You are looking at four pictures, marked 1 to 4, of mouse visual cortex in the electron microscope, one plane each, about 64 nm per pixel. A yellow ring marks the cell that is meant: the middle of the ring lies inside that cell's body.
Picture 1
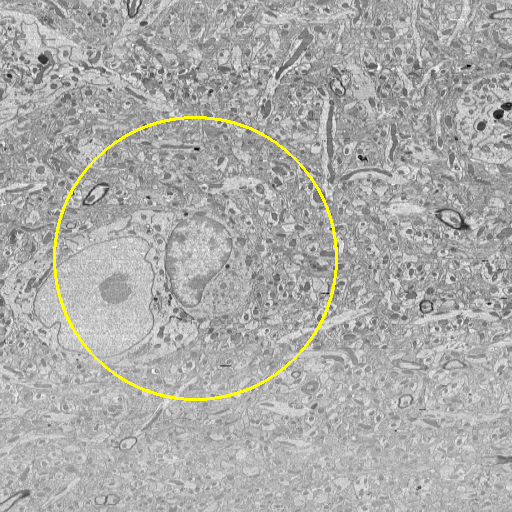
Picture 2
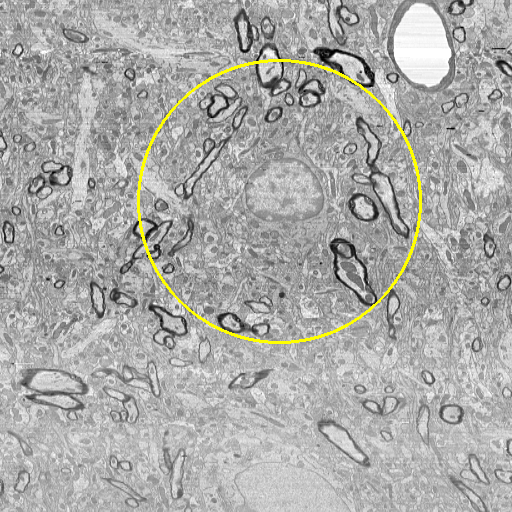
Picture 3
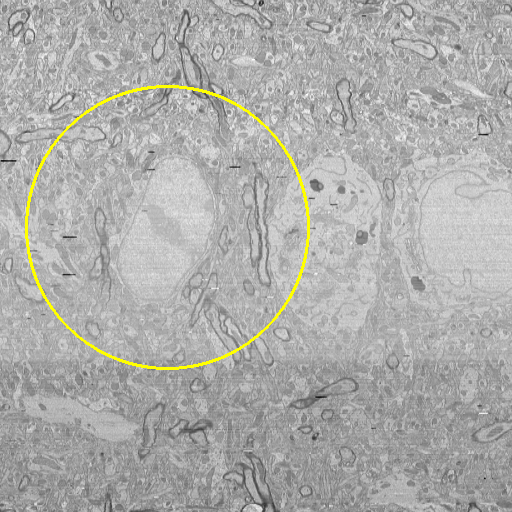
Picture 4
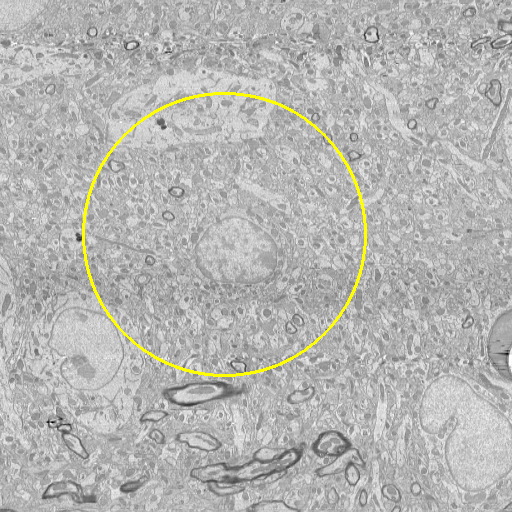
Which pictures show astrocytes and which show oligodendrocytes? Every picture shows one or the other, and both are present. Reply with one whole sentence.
Picture 3 shows an astrocyte, while pictures 1, 2 and 4 show oligodendrocytes.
